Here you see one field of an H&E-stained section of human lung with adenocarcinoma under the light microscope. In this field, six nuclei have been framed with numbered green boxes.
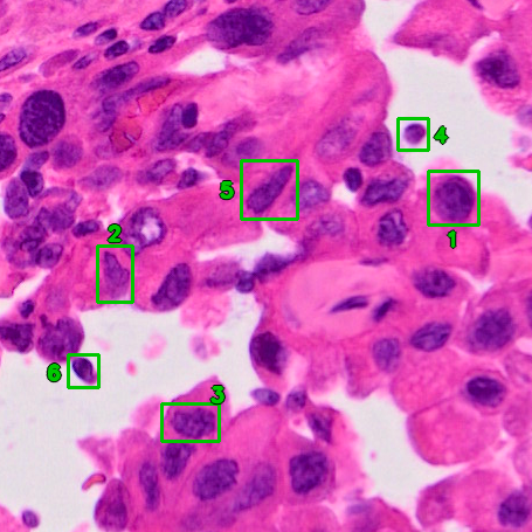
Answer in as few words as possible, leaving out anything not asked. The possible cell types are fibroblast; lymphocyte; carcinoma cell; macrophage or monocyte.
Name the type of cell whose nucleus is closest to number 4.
carcinoma cell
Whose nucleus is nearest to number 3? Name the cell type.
carcinoma cell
